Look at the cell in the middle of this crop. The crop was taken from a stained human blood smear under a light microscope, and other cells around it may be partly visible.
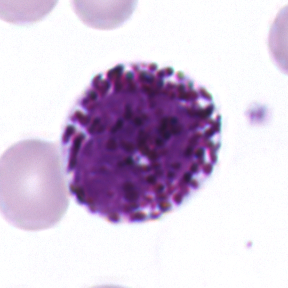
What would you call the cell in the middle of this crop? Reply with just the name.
basophil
